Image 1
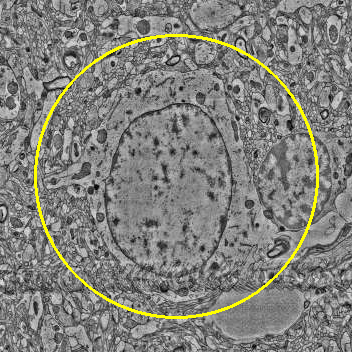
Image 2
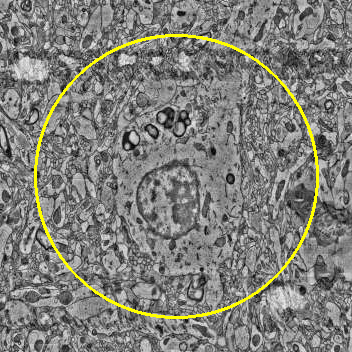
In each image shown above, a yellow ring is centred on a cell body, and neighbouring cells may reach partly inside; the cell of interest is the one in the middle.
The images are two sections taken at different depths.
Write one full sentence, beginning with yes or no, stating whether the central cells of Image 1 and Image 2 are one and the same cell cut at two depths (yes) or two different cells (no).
Yes, what the two rings mark is one cell.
